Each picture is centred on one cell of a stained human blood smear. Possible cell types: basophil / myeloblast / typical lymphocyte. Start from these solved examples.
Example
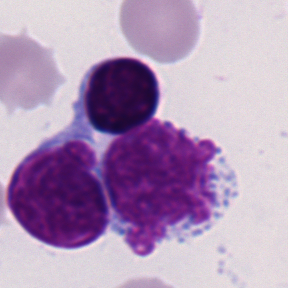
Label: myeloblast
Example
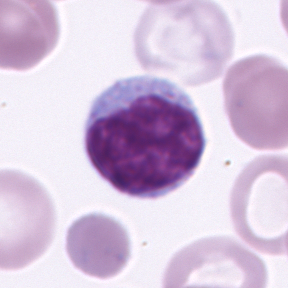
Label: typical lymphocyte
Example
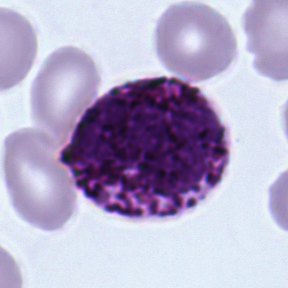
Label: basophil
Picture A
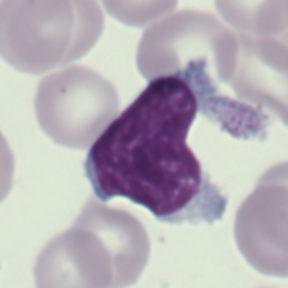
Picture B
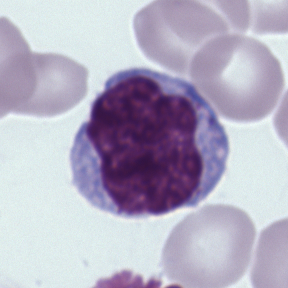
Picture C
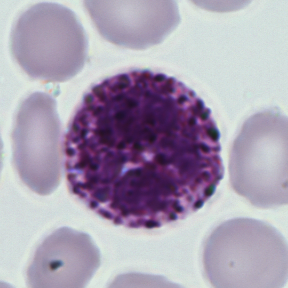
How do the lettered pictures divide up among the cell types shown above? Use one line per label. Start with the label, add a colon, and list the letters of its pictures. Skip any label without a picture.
basophil: C
typical lymphocyte: A, B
